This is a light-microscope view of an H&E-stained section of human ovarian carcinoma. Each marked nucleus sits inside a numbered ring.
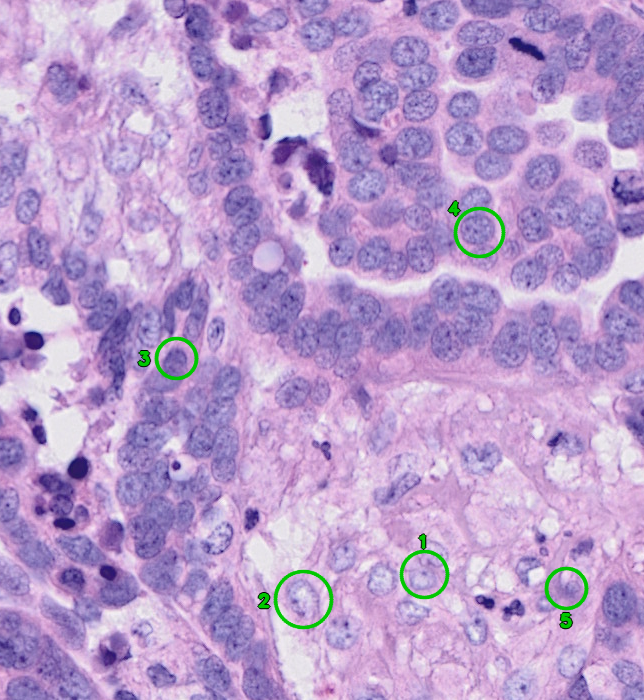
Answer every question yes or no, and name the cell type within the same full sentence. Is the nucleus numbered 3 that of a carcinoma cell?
Yes, the marked cell with number 3 is a carcinoma cell.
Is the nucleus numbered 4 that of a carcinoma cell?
Yes. The cell carrying number 4 is a carcinoma cell.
